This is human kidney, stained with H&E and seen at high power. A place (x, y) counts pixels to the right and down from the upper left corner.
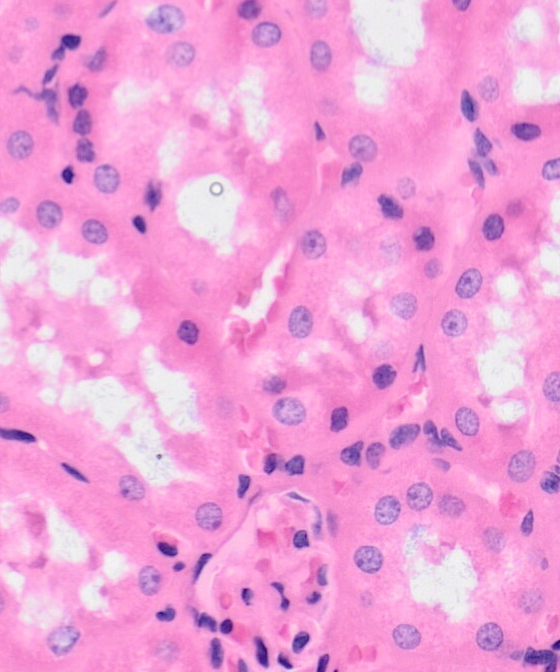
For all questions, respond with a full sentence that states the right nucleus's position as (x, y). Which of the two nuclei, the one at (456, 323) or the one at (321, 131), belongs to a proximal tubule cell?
Lying within a proximal tubule cell is the nucleus at (456, 323).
